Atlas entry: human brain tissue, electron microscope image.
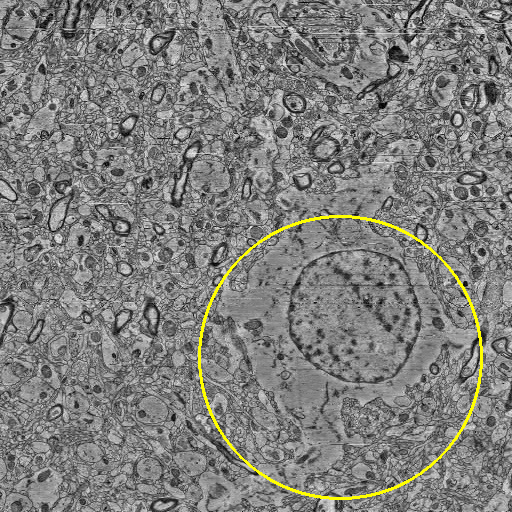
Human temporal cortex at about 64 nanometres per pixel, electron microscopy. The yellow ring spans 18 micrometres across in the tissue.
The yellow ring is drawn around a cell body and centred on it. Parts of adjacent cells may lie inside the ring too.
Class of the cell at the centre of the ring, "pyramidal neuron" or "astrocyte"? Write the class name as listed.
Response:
astrocyte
